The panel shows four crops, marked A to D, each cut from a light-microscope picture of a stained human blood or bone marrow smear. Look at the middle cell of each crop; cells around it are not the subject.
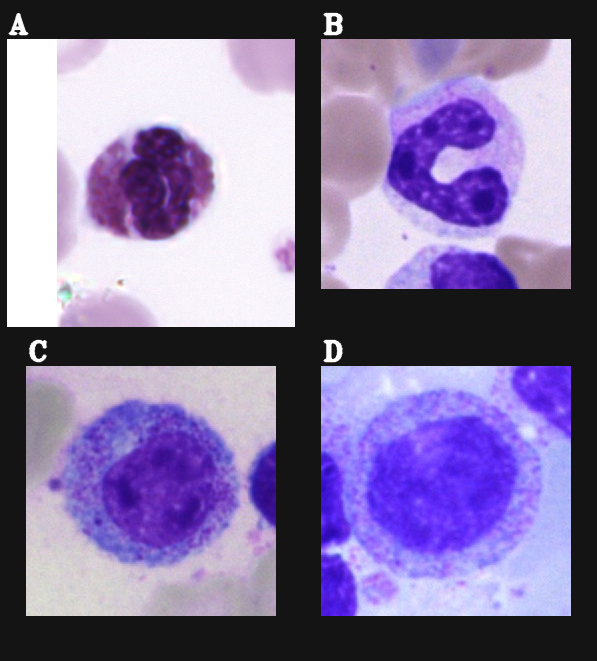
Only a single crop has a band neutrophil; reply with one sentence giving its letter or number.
Of the labelled crops, the one that shows a band neutrophil is crop B.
